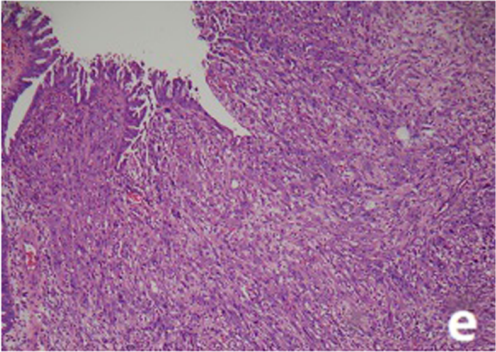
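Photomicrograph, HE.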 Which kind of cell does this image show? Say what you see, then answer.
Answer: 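Most of the field is packed with elongated spindle cells in interlacing bundles. The nuclei are dark purple and vary in size and shape. The answer: spindle-shaped cells with hyperchromatic pleomorphic nuclei.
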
